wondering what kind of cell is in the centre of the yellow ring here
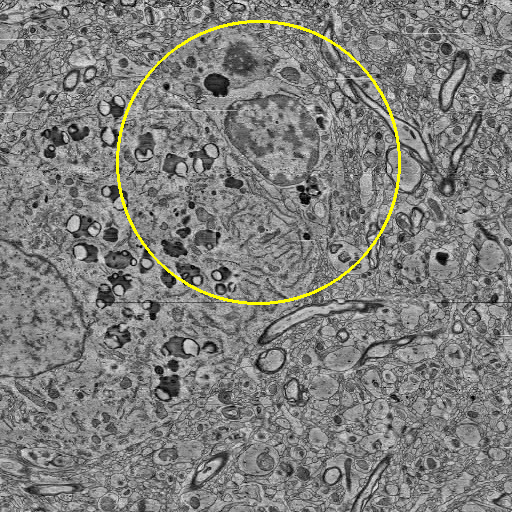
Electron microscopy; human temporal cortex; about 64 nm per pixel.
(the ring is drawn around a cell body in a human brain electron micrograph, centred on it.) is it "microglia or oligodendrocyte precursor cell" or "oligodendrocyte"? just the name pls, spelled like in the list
microglia or oligodendrocyte precursor cell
